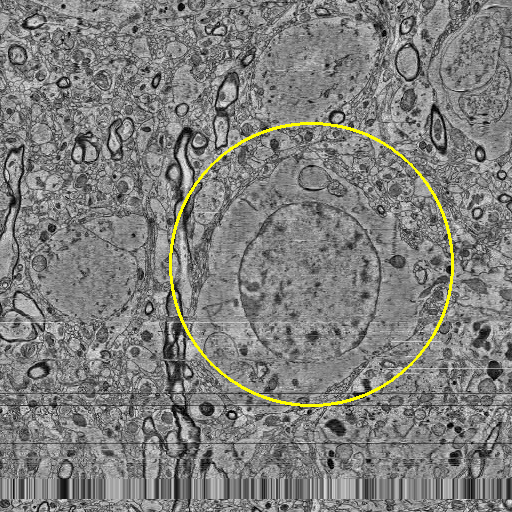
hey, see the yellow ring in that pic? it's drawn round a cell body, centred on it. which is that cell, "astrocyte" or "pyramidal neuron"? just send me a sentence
The cell in the ring is an astrocyte.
